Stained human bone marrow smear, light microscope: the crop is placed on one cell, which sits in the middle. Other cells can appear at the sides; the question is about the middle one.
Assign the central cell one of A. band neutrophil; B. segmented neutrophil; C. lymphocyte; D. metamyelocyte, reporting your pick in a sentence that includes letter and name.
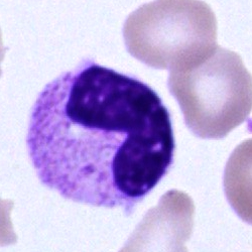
Option A holds, for the cell in the middle is a band neutrophil.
